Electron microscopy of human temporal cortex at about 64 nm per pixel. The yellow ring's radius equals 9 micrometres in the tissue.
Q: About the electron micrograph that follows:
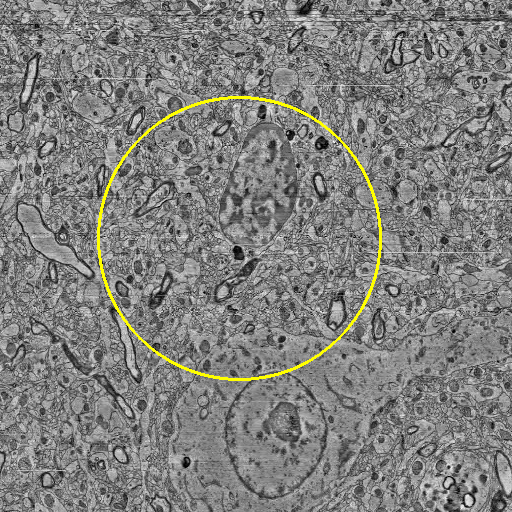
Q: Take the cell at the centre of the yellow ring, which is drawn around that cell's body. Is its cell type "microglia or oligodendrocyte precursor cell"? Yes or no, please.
Yes, its type is that one.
